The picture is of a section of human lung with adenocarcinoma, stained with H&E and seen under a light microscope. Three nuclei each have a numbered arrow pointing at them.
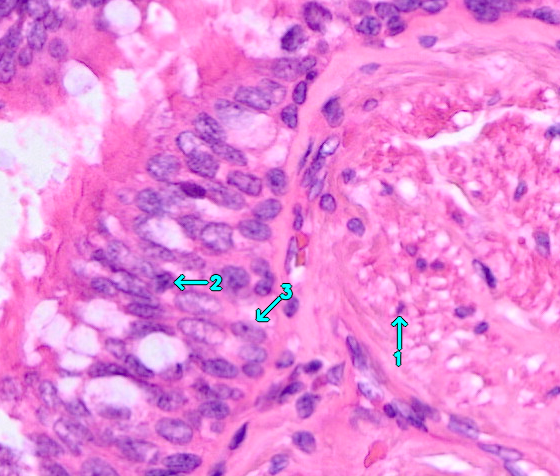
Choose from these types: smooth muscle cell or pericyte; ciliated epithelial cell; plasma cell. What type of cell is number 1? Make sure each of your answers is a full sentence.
In this section, the cell tagged 1 is a smooth muscle cell or pericyte.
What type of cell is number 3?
The cell identified by number 3 is a ciliated epithelial cell.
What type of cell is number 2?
In this section, the cell numbered 2 is a ciliated epithelial cell.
